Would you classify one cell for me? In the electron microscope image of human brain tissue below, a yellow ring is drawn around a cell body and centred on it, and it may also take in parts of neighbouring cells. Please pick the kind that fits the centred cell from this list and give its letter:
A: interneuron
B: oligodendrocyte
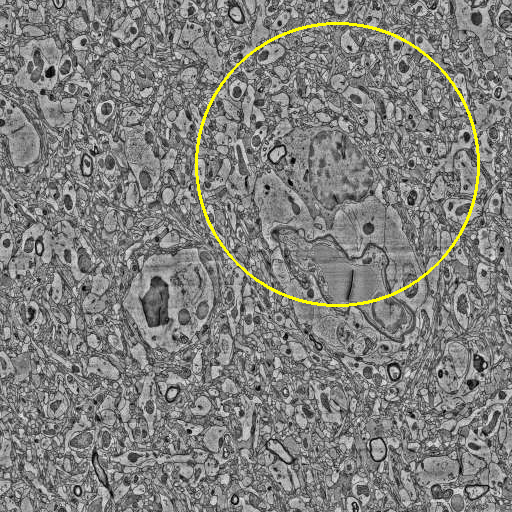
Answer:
B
